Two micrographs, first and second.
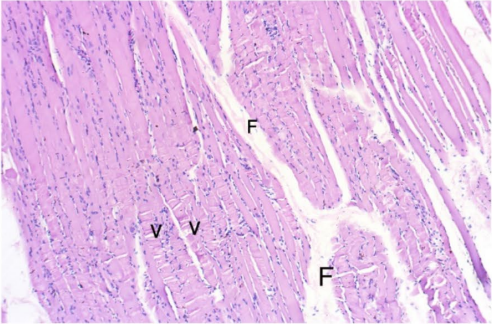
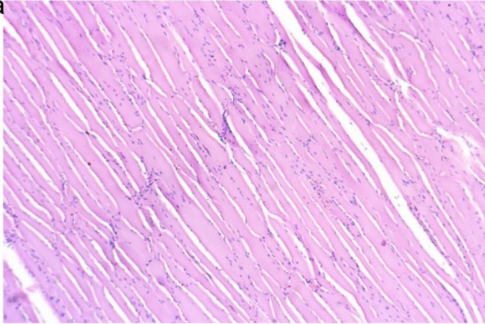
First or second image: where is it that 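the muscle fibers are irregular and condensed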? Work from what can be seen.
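First image: fibers are uneven, broken up and crowded, with wide pale gaps between bundles. So: the first image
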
